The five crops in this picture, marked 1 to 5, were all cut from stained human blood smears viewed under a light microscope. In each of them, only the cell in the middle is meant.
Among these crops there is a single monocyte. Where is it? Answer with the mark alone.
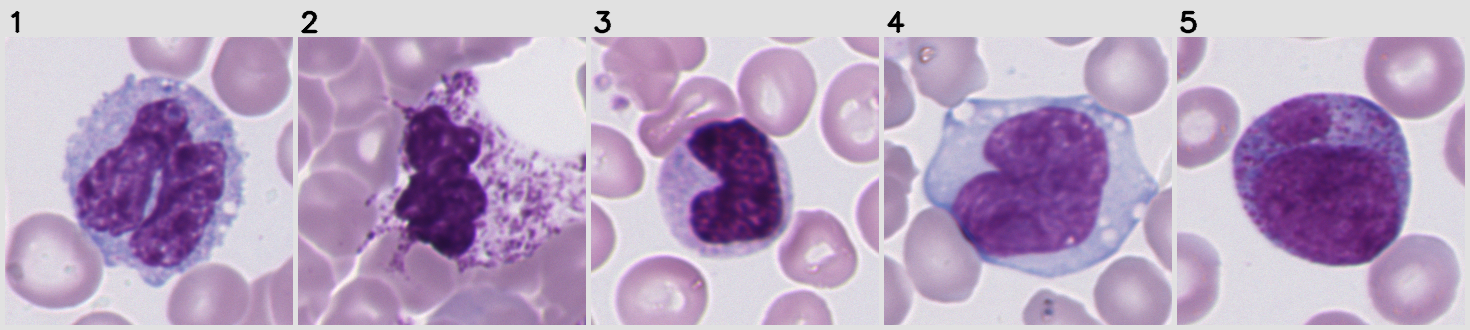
1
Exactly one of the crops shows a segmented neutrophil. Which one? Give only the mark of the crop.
2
